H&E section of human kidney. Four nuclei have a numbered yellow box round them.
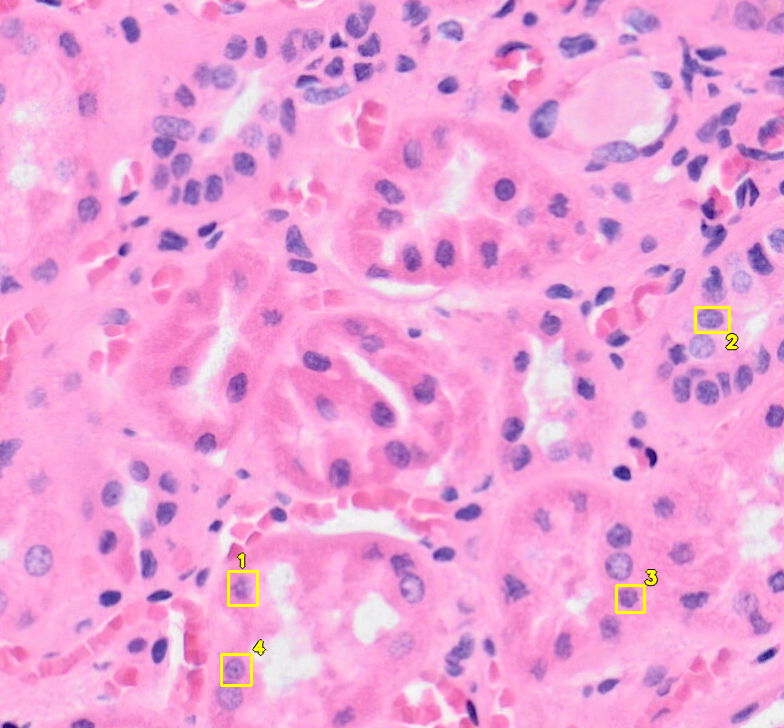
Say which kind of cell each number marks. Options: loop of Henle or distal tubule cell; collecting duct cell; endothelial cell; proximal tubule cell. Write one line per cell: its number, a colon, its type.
1: proximal tubule cell
2: collecting duct cell
3: proximal tubule cell
4: proximal tubule cell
